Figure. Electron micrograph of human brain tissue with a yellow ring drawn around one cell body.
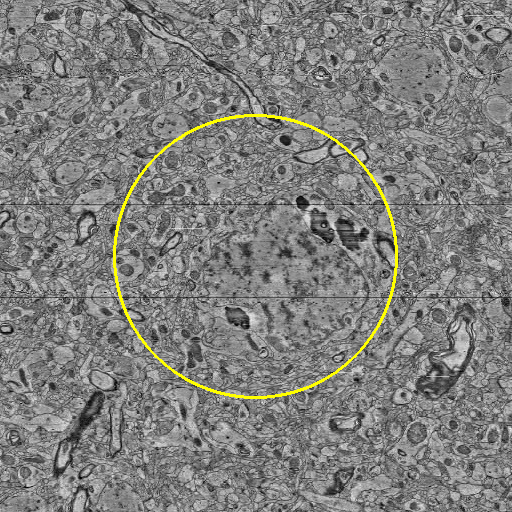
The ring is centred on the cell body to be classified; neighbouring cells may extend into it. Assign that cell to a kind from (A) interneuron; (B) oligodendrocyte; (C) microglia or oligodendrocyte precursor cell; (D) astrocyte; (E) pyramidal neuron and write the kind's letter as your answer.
A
